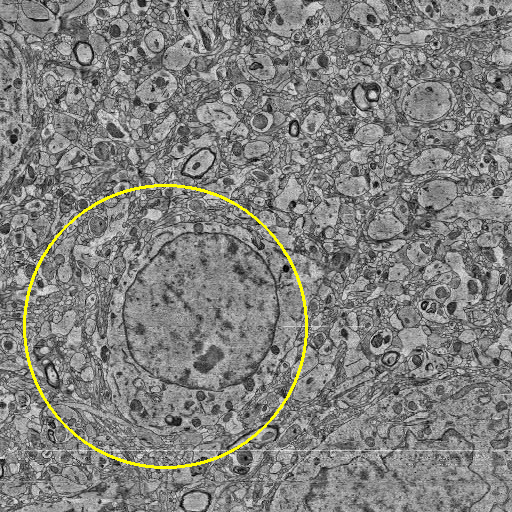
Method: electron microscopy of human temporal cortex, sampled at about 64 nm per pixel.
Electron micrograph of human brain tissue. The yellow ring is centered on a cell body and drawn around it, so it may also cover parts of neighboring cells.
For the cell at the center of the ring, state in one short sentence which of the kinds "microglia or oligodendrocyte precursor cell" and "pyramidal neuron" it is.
This ring is centered on a pyramidal neuron.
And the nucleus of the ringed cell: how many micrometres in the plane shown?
In this plane the nucleus measures roughly 10 micrometres across.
